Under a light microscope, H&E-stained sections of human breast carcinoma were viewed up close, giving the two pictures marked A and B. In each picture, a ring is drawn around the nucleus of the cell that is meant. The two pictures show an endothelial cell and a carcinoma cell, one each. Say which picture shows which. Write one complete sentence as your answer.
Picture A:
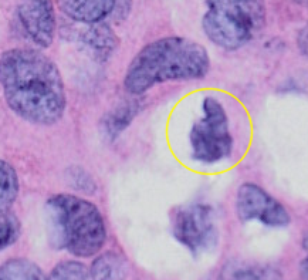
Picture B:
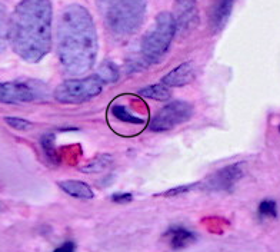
In picture A the cell is a carcinoma cell; in picture B, an endothelial cell.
